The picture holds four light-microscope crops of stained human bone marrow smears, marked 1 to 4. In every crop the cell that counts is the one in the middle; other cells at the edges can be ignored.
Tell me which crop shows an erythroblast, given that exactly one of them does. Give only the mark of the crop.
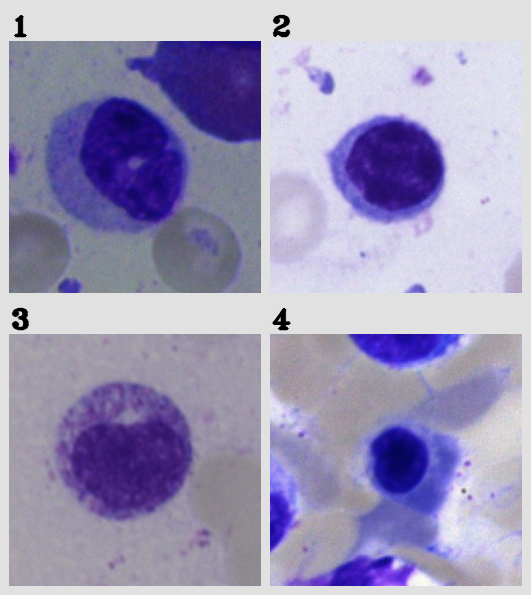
4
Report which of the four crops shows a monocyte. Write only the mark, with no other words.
1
